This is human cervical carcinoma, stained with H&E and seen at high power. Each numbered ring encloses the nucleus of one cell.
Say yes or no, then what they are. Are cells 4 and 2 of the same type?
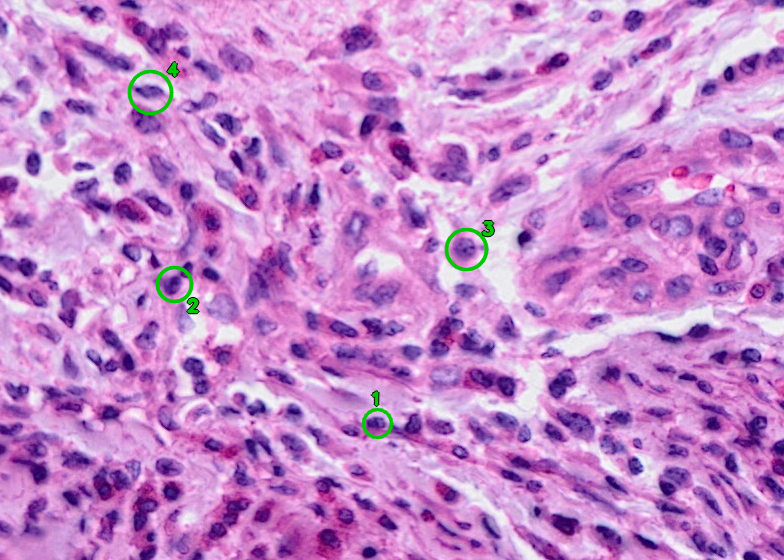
Yes, both are lymphocytes.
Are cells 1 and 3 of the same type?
No, cell 1 is a lymphocyte and cell 3 is a macrophage or monocyte.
